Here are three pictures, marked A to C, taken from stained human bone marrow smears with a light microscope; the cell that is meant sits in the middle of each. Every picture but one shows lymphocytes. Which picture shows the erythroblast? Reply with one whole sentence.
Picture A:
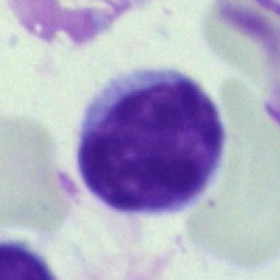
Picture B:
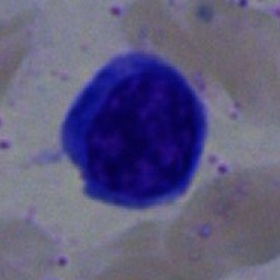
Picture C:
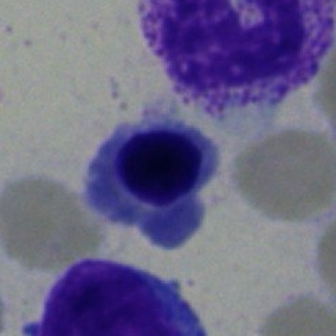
It is picture C that shows the erythroblast.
